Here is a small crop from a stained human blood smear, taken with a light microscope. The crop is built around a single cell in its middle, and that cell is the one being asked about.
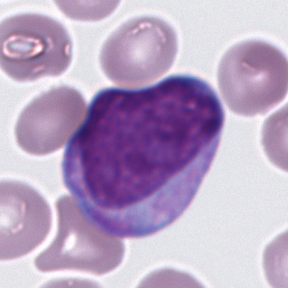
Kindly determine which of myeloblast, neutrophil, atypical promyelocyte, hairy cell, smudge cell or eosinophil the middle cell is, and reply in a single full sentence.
The crop shows an atypical promyelocyte in its centre.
